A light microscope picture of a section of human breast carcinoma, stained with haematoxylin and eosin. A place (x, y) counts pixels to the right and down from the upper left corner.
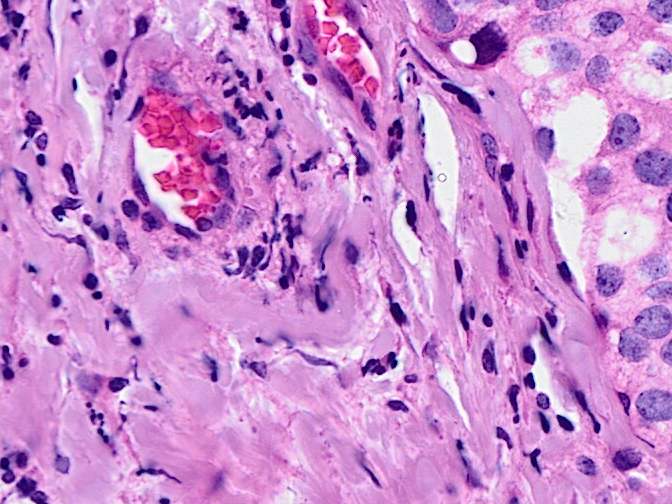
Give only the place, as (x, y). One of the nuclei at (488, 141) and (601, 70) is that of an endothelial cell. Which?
(488, 141)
